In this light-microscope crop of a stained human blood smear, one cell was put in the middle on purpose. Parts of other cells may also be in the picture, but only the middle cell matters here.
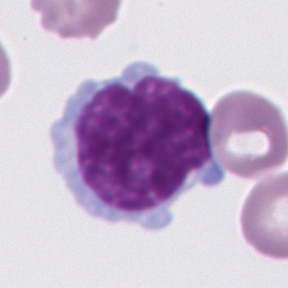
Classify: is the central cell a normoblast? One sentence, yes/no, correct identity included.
No, the cell in the middle of the crop counts as a typical lymphocyte and not as a normoblast.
